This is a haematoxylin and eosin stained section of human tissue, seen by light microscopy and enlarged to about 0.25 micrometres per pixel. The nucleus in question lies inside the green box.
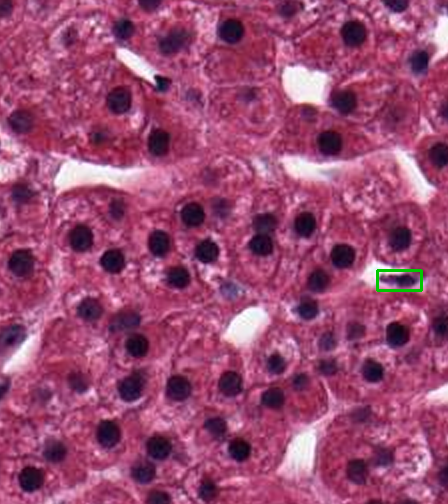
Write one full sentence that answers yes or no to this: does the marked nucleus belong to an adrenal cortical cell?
No, the marked nucleus is not from an adrenal cortical cell; a supporting cell is its source.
